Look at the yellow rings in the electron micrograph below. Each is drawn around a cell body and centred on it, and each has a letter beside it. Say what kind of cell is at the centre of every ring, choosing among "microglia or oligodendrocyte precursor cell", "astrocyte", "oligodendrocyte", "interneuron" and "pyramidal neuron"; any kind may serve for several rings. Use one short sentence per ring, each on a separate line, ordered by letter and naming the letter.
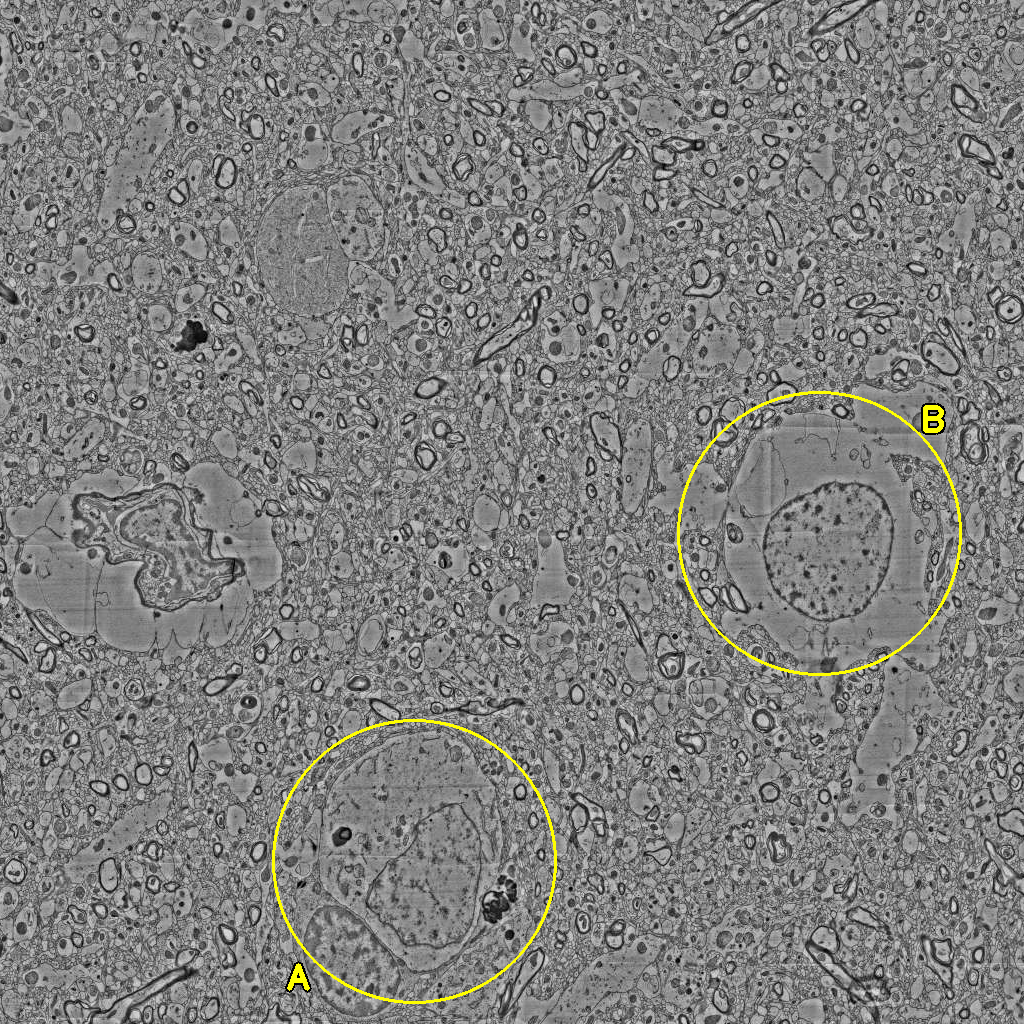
Ring A encircles a pyramidal neuron.
Ring B encircles an astrocyte.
